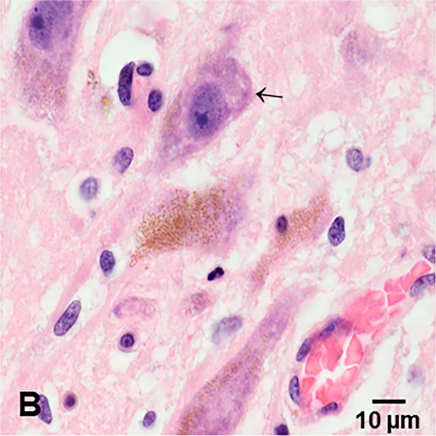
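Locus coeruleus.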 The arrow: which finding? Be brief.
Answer: Partially degranulated neurons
